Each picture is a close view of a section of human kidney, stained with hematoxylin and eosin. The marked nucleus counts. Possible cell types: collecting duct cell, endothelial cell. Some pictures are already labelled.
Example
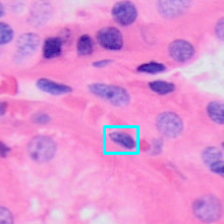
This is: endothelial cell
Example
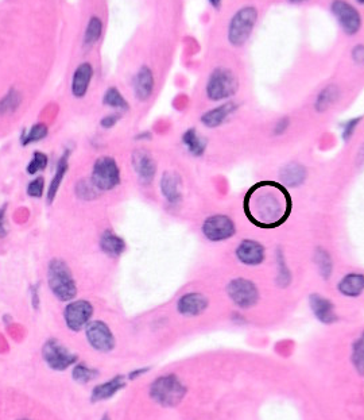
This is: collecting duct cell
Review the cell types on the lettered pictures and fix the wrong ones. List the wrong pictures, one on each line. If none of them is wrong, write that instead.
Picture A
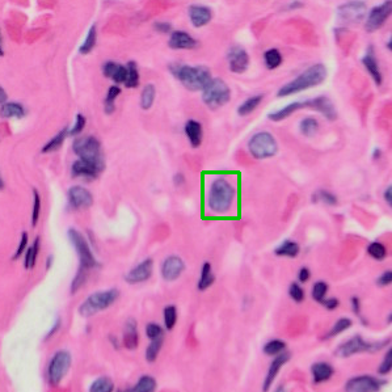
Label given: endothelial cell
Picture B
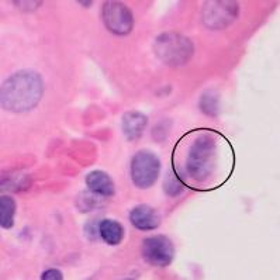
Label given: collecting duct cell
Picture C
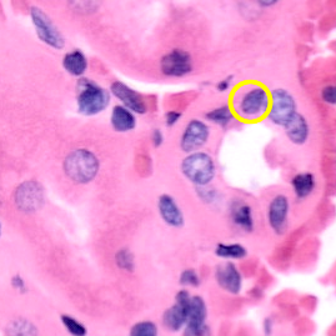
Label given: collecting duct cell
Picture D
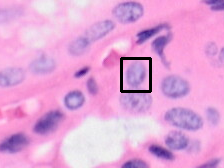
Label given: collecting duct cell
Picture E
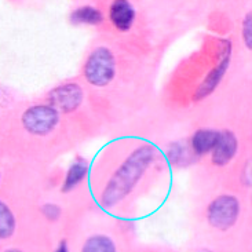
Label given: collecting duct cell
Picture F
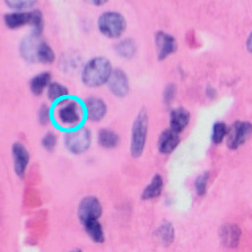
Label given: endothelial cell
F is labelled endothelial cell; correct label: collecting duct cell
